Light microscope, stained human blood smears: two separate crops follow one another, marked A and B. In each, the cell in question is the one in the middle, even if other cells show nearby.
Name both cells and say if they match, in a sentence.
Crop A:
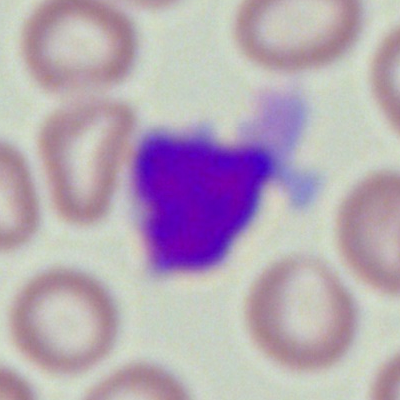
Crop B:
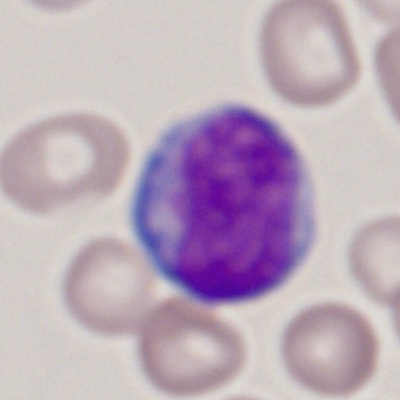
No, sorry, crop A shows a lymphocyte and crop B shows a myeloblast.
